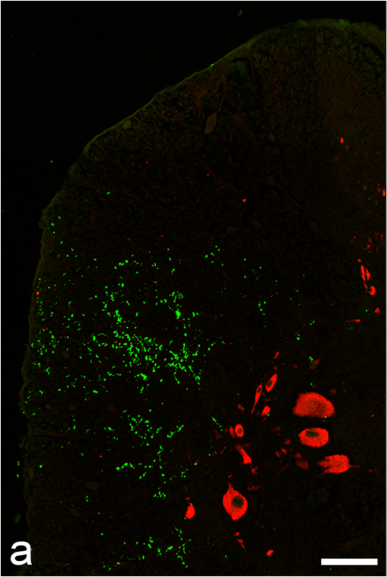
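This section of spinal cord shows a group of neuronal cell bodies and scattered fine fibers and terminal endings. Scattered green dots and short fine segments lie in a broad lateral region, separate from the red cell bodies. The rest of the tissue is dark with little label, and a faint outline marks the outer surface of the cord.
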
